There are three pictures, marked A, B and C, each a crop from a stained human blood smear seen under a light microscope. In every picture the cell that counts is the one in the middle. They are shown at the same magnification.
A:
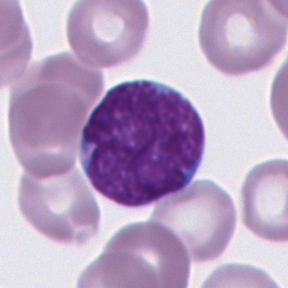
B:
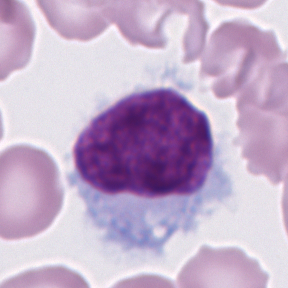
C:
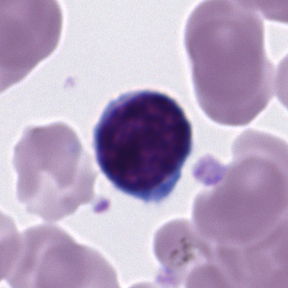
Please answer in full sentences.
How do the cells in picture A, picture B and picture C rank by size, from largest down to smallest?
Largest first: B, A, C.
